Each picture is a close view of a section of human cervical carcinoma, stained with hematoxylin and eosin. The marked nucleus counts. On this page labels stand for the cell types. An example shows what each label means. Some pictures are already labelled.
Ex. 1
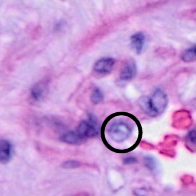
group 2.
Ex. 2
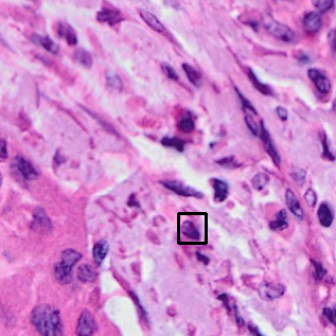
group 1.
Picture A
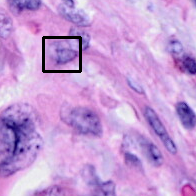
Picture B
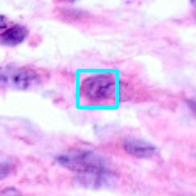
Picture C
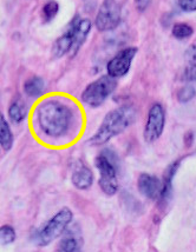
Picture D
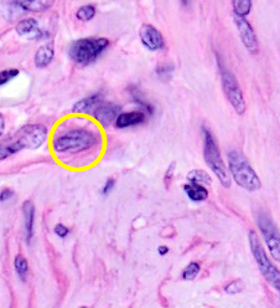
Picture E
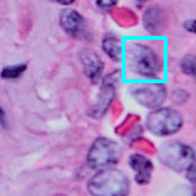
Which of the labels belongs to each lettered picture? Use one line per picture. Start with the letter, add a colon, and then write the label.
A: group 2.
B: group 1.
C: group 2.
D: group 2.
E: group 2.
